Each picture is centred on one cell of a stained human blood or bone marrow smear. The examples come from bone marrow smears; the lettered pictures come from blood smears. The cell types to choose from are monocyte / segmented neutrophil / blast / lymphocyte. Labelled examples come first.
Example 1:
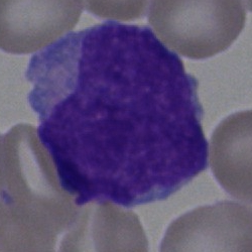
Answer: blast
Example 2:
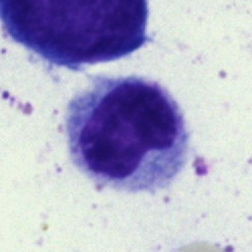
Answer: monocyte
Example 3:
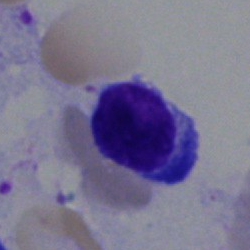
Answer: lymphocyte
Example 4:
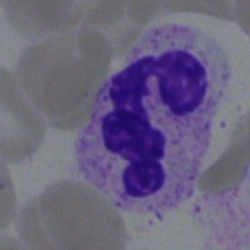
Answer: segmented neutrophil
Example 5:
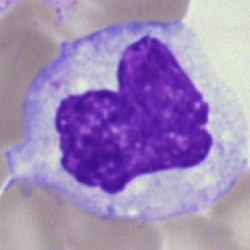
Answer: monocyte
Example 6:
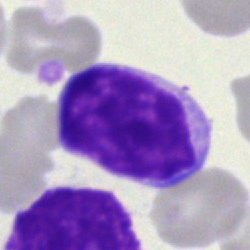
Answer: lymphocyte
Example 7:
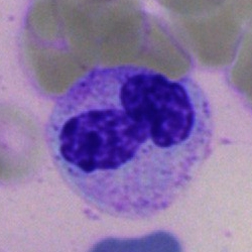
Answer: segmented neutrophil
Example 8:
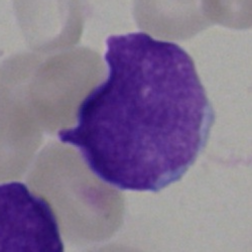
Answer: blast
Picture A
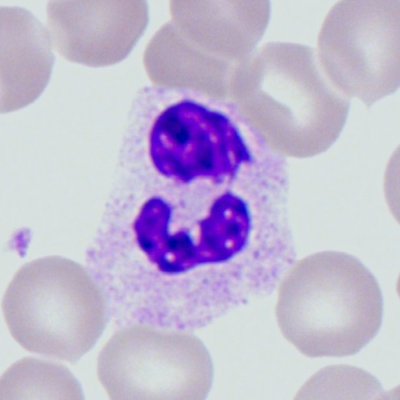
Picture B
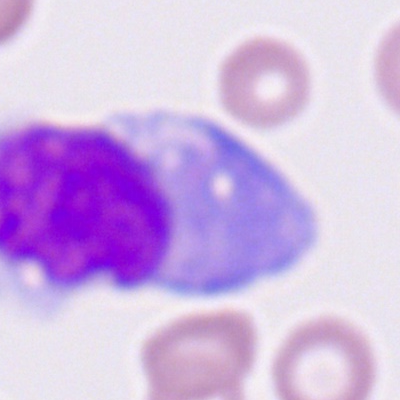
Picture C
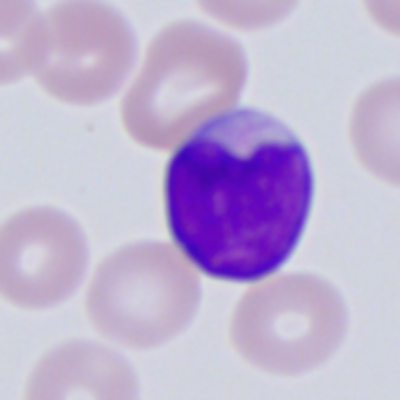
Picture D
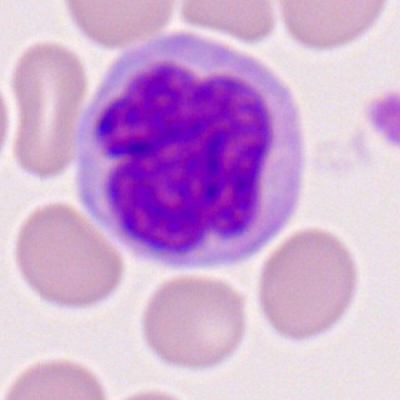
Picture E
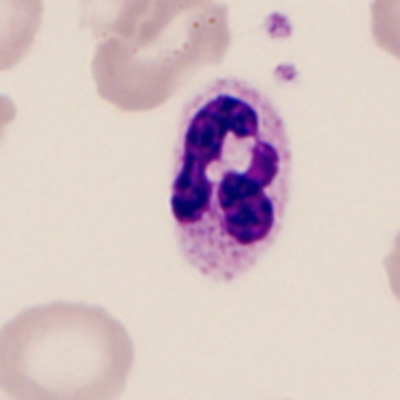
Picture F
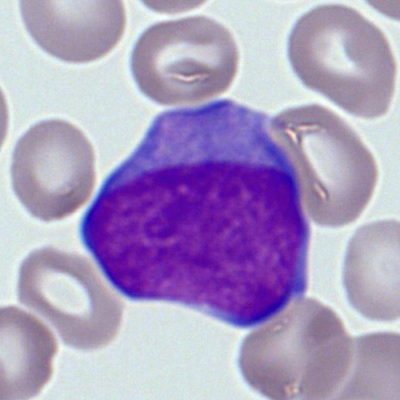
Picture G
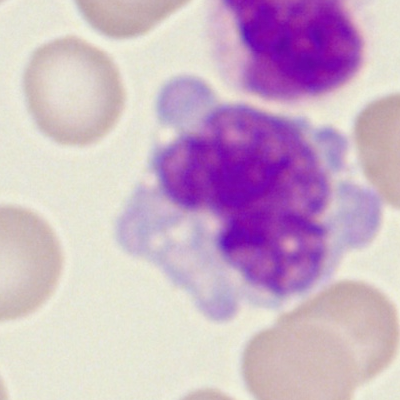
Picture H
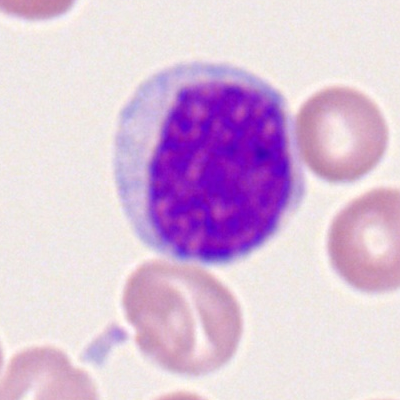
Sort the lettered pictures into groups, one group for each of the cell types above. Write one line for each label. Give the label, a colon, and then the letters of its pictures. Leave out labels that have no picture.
monocyte: B, D, G
segmented neutrophil: A, E
blast: C, F
lymphocyte: H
